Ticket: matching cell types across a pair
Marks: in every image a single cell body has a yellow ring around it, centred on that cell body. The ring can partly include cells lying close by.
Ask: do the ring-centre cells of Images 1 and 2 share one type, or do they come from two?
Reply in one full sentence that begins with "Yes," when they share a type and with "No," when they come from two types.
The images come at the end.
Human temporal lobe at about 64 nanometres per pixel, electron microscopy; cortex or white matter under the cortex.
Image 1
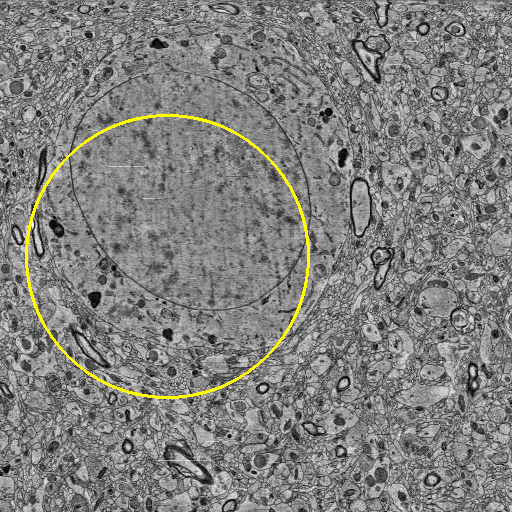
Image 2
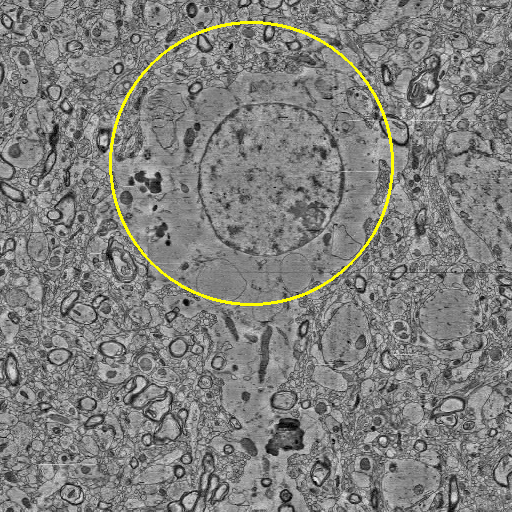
No, the cells in the centres of the rings in Image 1 and Image 2 come from two types.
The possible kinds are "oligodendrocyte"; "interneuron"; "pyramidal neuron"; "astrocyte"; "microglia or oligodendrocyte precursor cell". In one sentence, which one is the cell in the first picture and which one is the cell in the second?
The cell ringed in the second picture is an astrocyte, whereas the one ringed in the first is a pyramidal neuron.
